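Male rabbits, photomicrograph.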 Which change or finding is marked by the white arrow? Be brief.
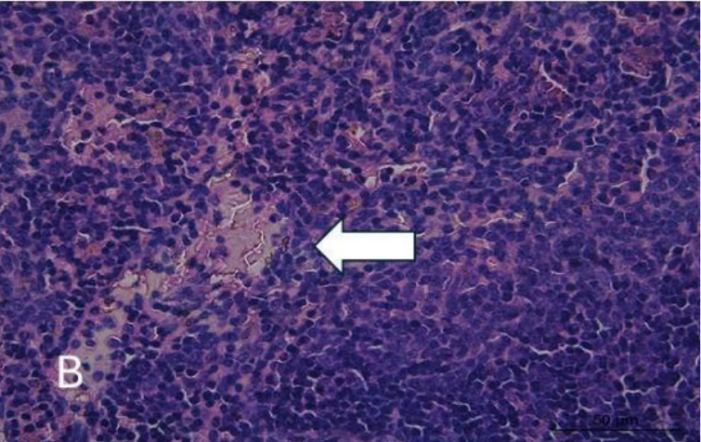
Foci of edema and necrosis.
